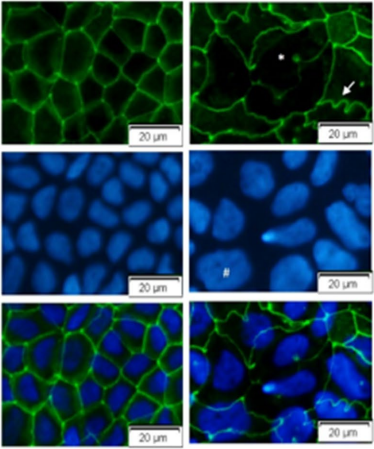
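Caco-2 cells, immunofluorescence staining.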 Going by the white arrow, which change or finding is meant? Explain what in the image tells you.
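Undulating and punctate. At the arrow the green junction line runs in a wavy course instead of straight.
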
